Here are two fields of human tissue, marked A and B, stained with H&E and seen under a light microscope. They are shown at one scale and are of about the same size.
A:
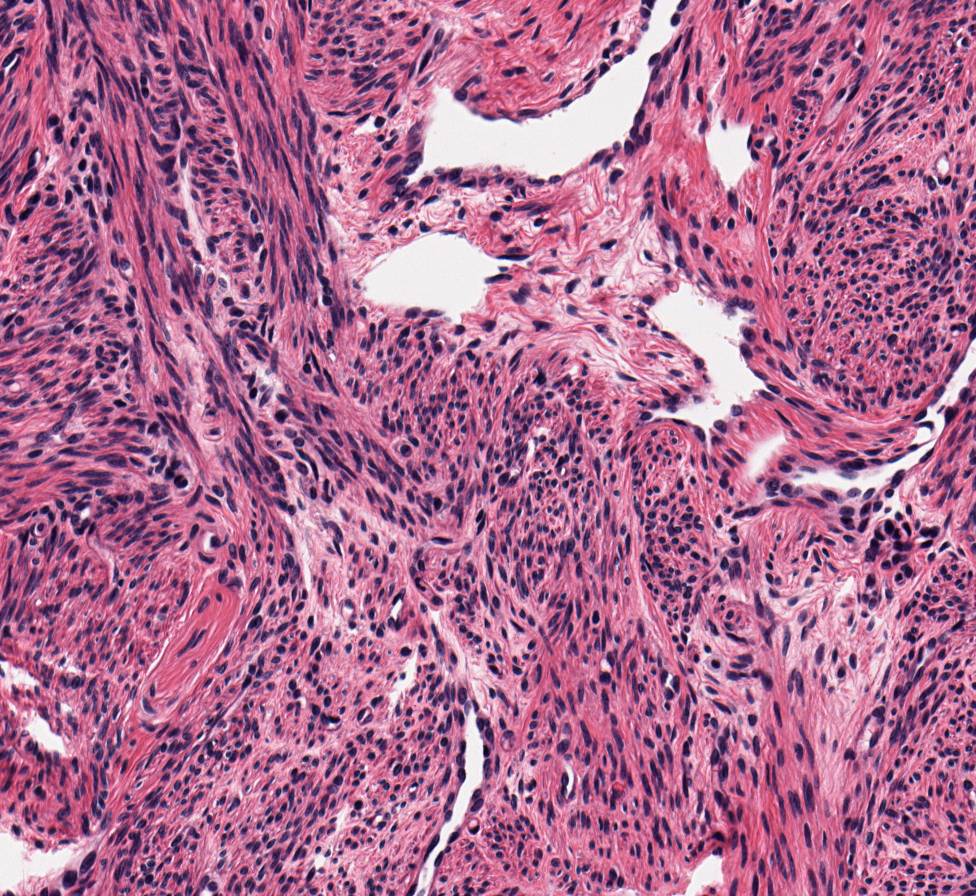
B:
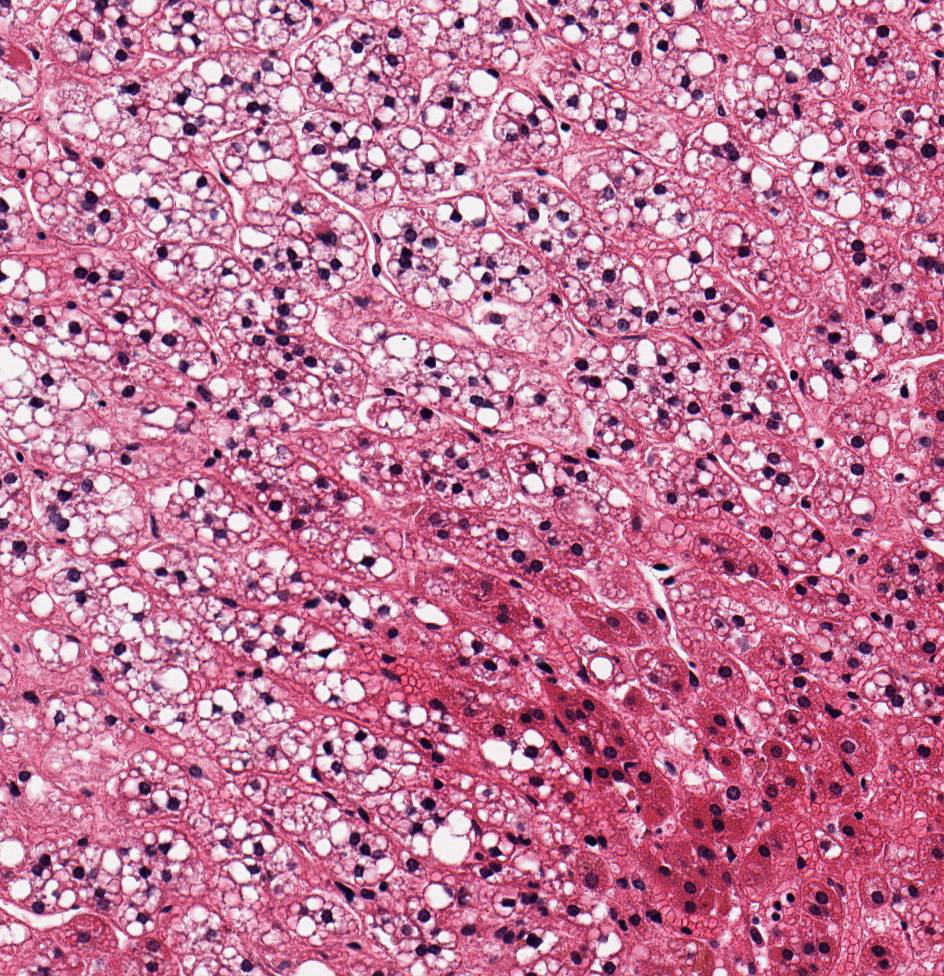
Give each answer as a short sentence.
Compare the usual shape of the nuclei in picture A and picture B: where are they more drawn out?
It is picture A whose nuclei are the more elongated.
